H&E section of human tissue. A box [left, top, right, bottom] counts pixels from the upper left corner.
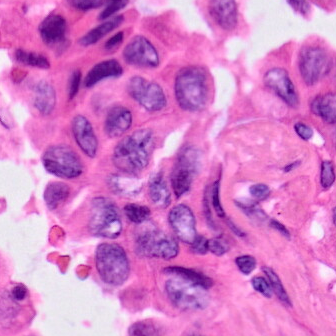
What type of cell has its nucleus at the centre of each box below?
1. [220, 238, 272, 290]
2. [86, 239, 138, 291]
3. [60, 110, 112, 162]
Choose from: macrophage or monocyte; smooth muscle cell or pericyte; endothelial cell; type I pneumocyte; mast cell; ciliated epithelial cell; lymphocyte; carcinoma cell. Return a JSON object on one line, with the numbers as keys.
{"1": "lymphocyte", "2": "carcinoma cell", "3": "carcinoma cell"}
